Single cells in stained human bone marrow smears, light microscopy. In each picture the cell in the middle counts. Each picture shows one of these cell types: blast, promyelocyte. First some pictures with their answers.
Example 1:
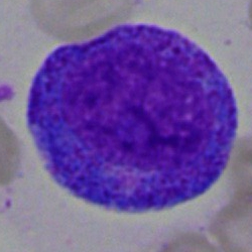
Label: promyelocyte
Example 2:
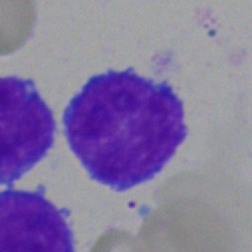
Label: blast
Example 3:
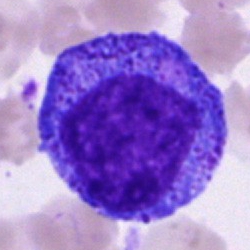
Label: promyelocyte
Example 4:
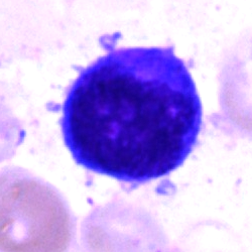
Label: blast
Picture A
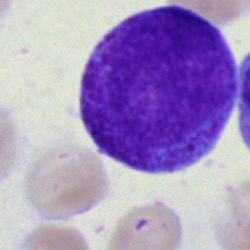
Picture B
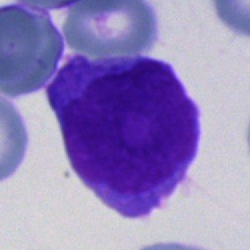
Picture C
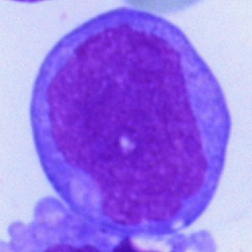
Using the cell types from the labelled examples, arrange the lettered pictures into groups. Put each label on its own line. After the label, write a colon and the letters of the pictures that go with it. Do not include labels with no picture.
blast: B, C
promyelocyte: A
